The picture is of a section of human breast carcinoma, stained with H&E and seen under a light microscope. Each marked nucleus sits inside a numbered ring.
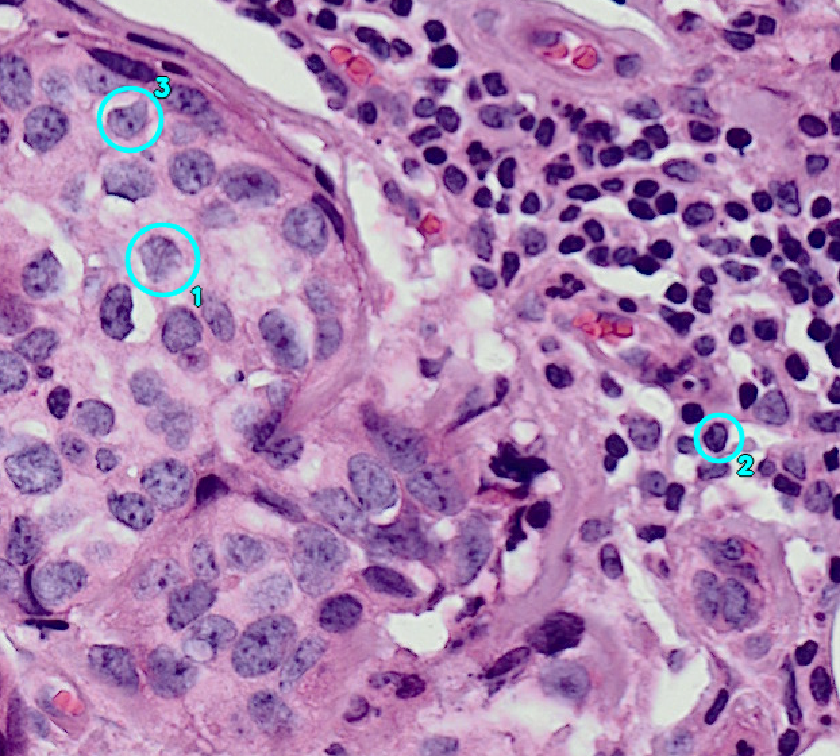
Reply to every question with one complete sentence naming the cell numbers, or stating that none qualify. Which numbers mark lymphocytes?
In this set of numbered cells, only cell 2 is a lymphocyte.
